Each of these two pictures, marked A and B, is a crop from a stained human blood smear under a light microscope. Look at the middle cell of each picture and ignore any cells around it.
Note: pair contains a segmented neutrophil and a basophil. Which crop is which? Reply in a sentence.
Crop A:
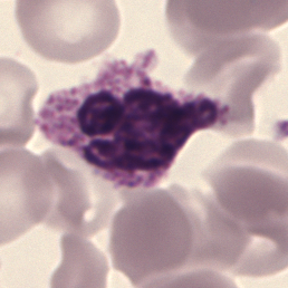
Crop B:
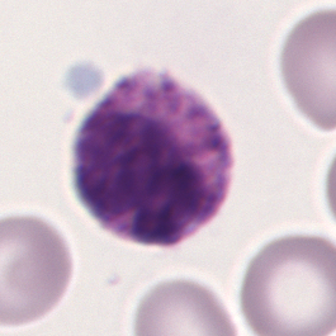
Crop A is classified as a segmented neutrophil, and crop B as a basophil.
